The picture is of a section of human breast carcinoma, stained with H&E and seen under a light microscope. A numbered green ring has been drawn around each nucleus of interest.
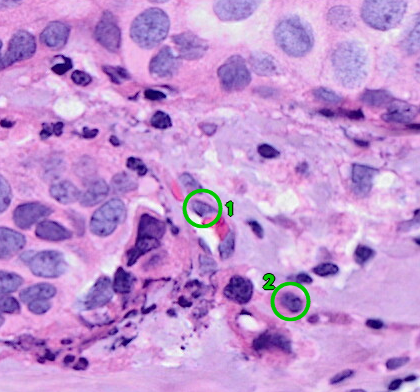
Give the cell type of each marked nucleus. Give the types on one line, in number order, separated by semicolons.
endothelial cell; mast cell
